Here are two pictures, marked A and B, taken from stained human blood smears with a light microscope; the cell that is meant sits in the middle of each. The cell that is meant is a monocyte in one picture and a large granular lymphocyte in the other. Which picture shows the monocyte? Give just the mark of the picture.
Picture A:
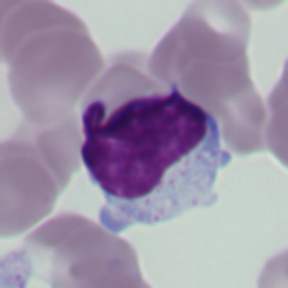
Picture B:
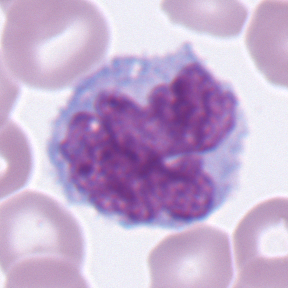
B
